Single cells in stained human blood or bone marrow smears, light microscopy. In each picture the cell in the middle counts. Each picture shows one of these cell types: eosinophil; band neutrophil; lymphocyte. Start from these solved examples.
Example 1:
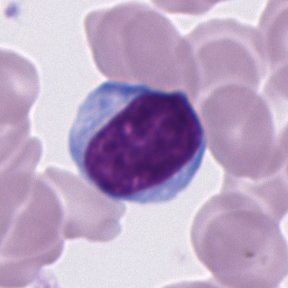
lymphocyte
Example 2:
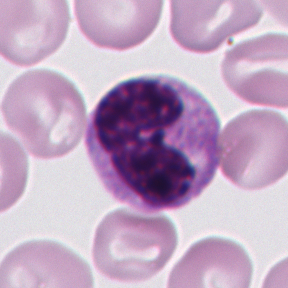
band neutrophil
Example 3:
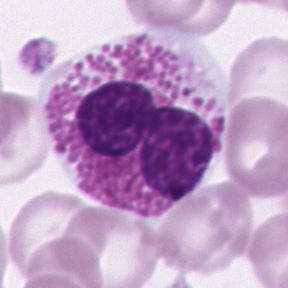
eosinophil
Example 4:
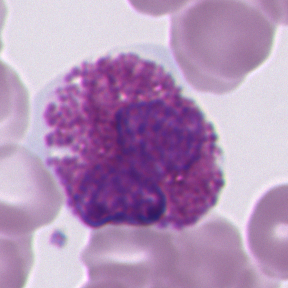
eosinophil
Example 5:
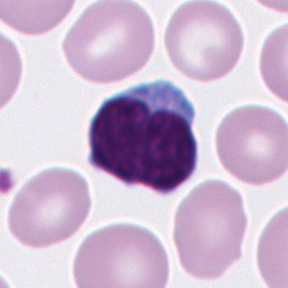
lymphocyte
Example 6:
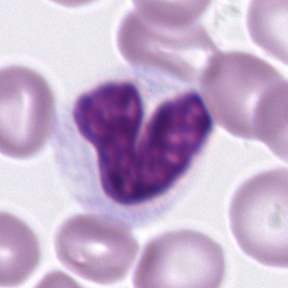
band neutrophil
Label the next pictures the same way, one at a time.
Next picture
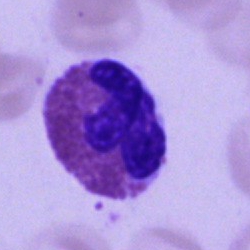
eosinophil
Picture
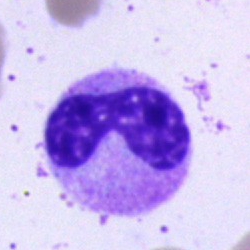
band neutrophil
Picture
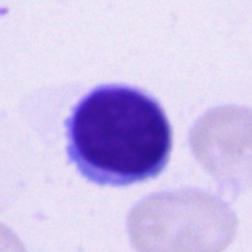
lymphocyte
